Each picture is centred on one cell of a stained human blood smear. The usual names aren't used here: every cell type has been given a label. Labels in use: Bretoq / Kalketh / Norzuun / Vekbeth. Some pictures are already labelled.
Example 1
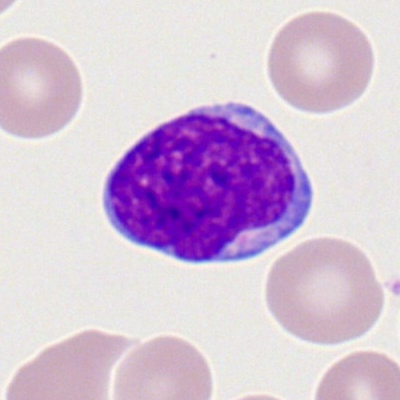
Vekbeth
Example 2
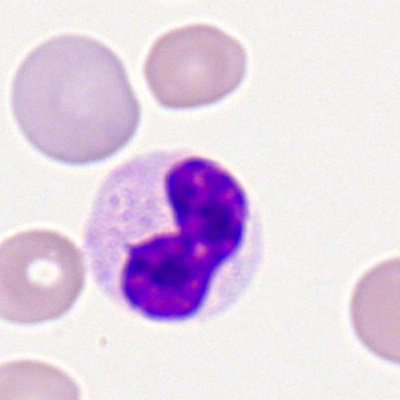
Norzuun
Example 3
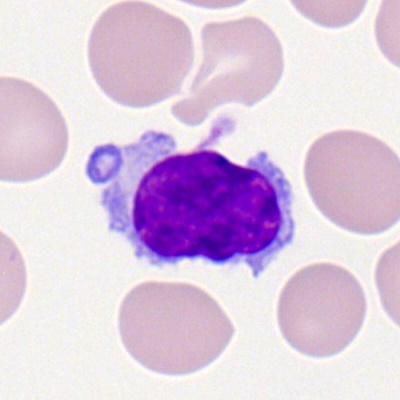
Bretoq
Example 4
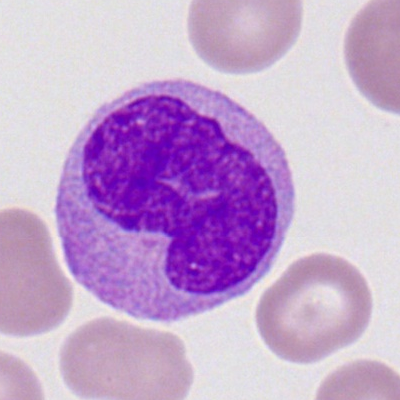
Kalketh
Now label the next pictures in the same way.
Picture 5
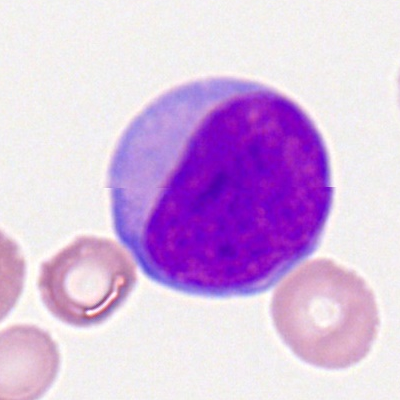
Vekbeth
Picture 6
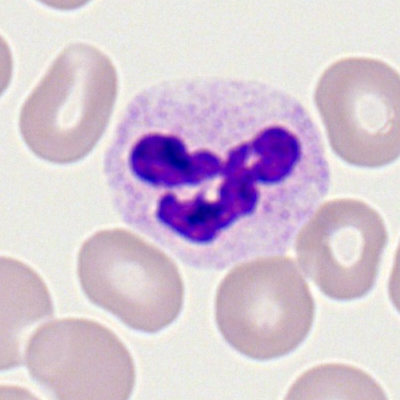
Norzuun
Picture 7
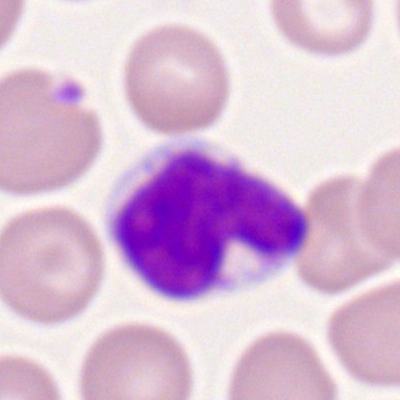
Bretoq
